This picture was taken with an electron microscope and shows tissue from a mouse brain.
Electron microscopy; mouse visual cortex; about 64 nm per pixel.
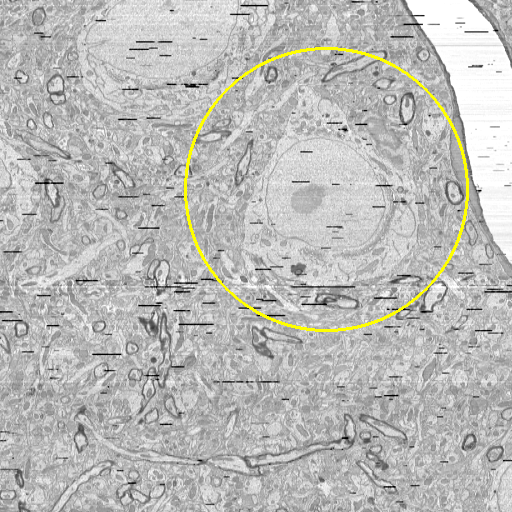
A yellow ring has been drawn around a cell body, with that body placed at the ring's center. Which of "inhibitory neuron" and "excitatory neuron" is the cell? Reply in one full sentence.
In this picture, an excitatory neuron is the cell at the center of the yellow ring.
